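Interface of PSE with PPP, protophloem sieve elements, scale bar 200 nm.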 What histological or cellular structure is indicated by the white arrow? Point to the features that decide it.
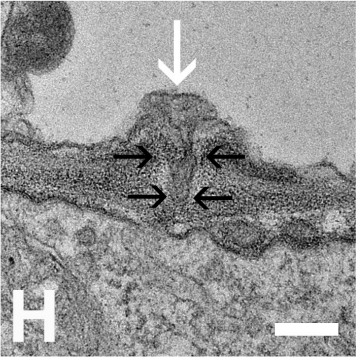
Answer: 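The white arrow points at a dark, dense mass at the opening of the channel in the wall. The mass is darker than the surrounding cytoplasm. That points to this answer: Electron-dense components.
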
